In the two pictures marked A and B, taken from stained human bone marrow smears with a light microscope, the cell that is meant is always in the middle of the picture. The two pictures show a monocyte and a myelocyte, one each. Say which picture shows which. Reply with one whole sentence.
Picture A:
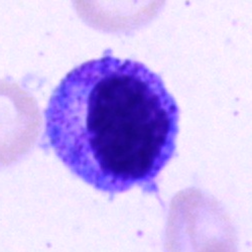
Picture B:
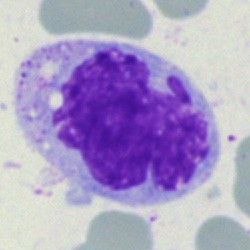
The cell in picture A is a myelocyte, and the one in picture B is a monocyte.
